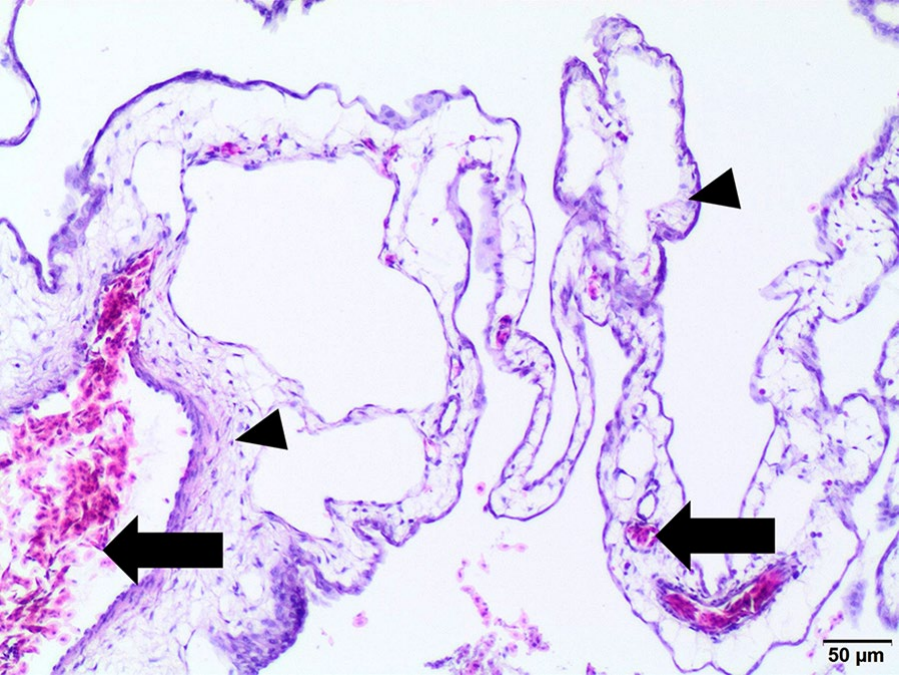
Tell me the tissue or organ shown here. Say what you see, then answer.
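Thin, folded membranes are lined by flat to cuboidal cell layers on both surfaces. A loose pale stroma with small vessels fills the space between the surfaces.
Chorioallantoic membrane.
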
